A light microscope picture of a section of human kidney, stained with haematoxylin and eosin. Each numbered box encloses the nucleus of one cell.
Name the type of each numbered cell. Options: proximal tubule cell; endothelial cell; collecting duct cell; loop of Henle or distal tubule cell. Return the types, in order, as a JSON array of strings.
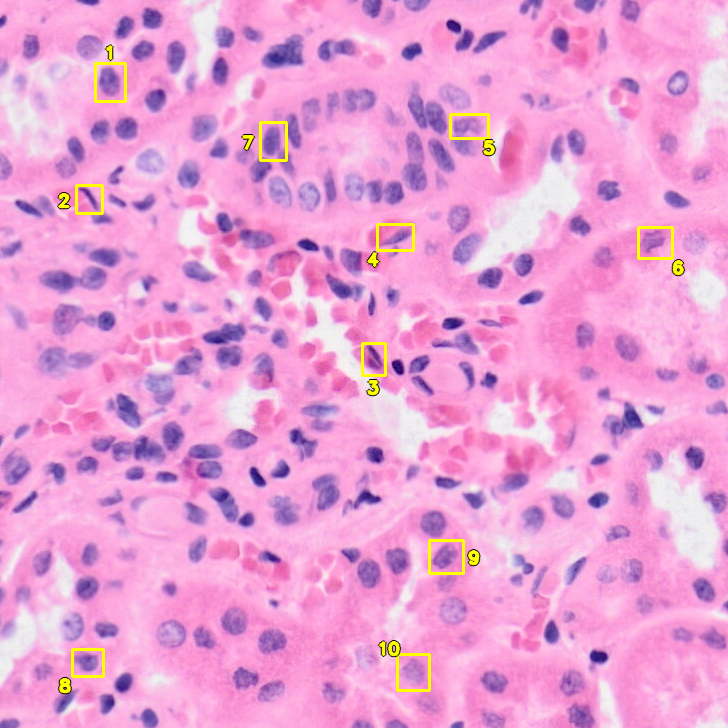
["loop of Henle or distal tubule cell", "endothelial cell", "endothelial cell", "endothelial cell", "collecting duct cell", "proximal tubule cell", "collecting duct cell", "loop of Henle or distal tubule cell", "proximal tubule cell", "proximal tubule cell"]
